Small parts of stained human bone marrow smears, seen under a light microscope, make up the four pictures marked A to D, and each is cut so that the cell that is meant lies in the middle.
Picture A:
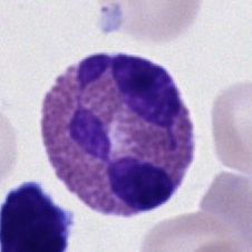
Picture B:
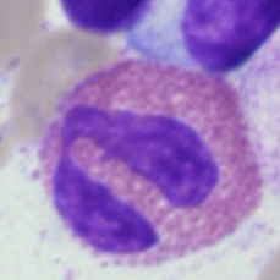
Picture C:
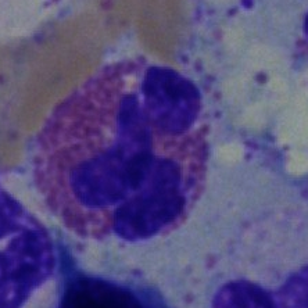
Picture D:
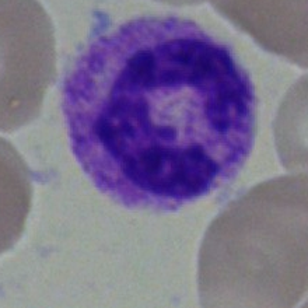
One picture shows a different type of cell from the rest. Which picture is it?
D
